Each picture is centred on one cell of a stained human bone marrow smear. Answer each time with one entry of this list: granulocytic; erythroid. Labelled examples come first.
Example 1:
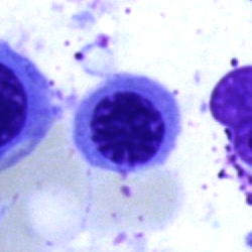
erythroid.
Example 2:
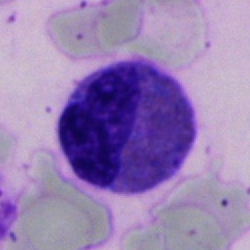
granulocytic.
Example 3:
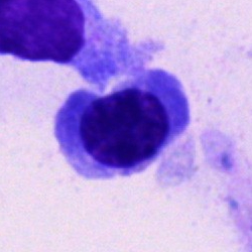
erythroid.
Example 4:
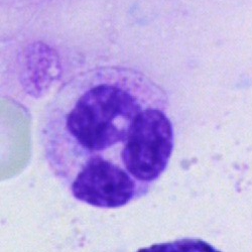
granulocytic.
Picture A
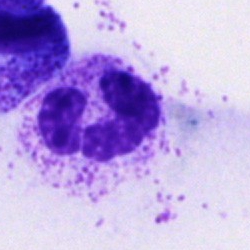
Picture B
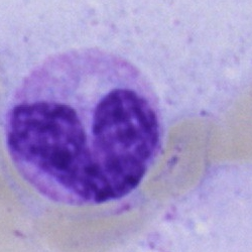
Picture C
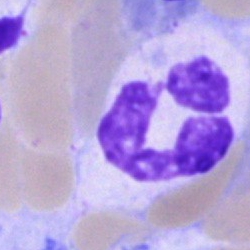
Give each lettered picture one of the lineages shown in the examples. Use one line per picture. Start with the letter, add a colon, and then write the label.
A: granulocytic.
B: granulocytic.
C: granulocytic.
